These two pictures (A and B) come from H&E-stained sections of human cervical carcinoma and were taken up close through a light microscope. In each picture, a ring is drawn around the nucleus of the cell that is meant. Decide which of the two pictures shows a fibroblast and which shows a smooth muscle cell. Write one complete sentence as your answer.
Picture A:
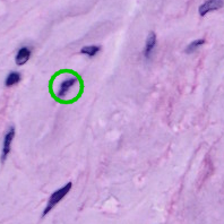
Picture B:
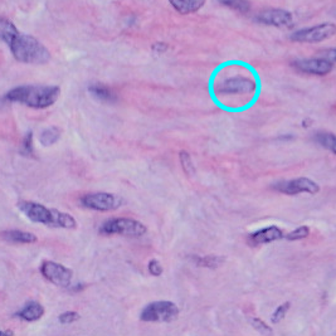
In picture A the cell is a fibroblast; in picture B, a smooth muscle cell.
